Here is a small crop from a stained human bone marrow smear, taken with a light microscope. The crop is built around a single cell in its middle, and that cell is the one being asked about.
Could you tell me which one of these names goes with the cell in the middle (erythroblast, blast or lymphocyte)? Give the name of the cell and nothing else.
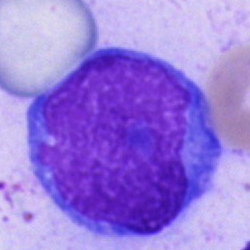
blast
